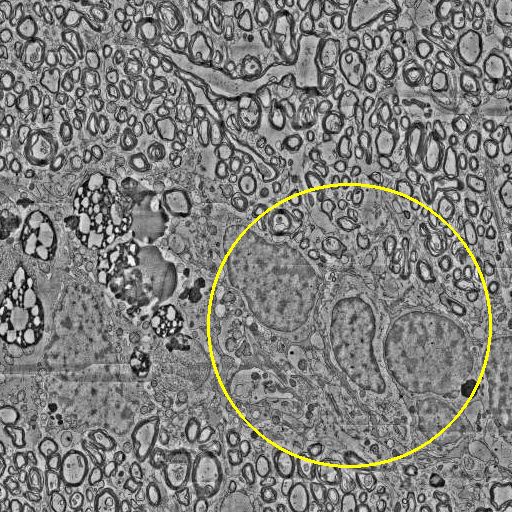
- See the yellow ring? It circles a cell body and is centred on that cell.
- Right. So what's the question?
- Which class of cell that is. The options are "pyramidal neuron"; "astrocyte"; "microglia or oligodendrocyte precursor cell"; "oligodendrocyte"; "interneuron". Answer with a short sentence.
The centre of the ring holds a microglial cell or oligodendrocyte precursor cell.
